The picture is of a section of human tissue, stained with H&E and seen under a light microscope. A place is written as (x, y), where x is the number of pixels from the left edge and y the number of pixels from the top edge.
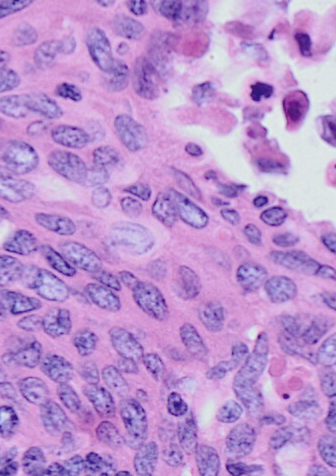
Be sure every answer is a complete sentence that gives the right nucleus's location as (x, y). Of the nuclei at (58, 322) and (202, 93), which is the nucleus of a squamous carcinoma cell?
The nucleus of a squamous carcinoma cell is the one at (58, 322).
